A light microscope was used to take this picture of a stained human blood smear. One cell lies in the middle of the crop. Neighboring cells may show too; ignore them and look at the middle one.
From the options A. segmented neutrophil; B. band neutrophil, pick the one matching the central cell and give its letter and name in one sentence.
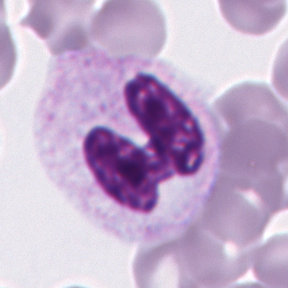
Option A is to be chosen, as the central cell is a segmented neutrophil.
